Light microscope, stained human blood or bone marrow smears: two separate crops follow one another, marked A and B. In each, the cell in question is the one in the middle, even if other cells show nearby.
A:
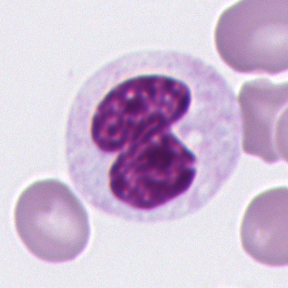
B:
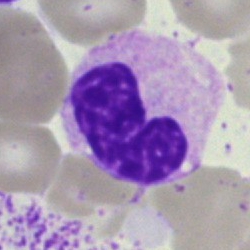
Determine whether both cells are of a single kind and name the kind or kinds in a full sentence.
Yes, both the first crop and the second crop show segmented neutrophils.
